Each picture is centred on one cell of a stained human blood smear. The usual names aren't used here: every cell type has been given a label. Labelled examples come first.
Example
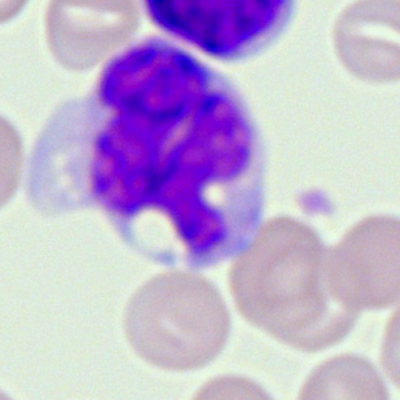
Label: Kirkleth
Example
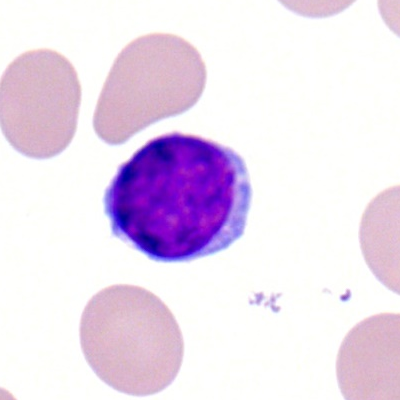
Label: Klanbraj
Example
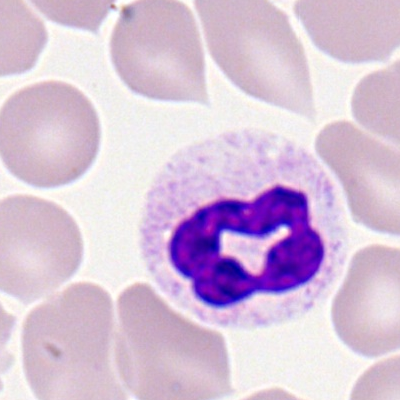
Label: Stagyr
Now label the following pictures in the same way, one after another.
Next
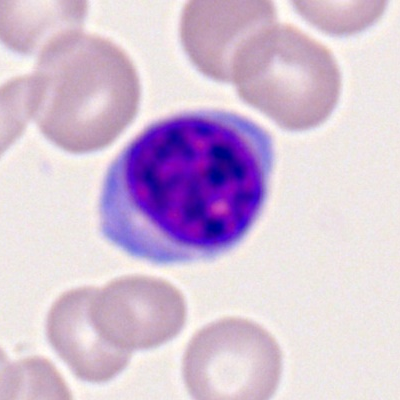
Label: Klanbraj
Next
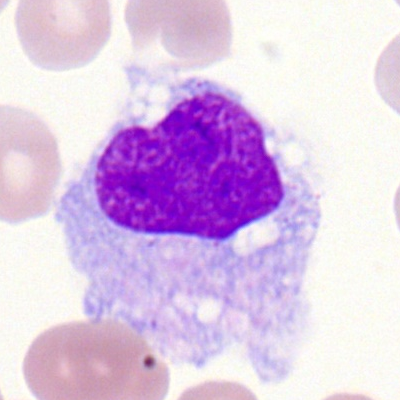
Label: Kirkleth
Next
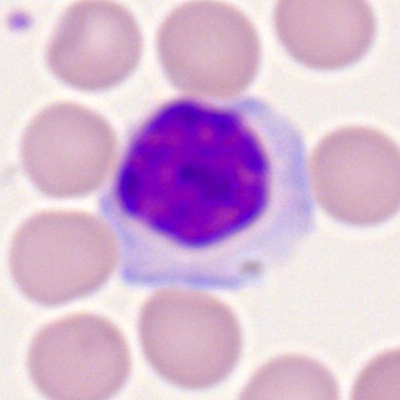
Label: Klanbraj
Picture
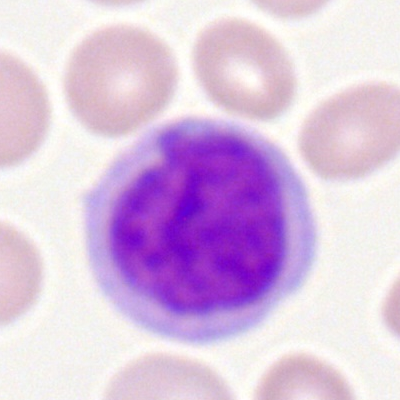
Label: Kirkleth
